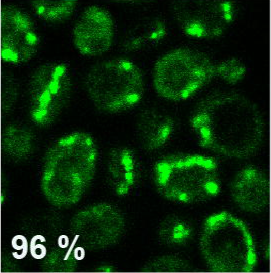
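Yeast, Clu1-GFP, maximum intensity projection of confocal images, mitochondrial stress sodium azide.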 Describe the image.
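A crowded field of round to oval yeast cells, some with buds, is seen in green fluorescence. Against this background most cells carry several very bright green dots and short streaks. These foci lie mostly beneath the cell edge, some in rows along it.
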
